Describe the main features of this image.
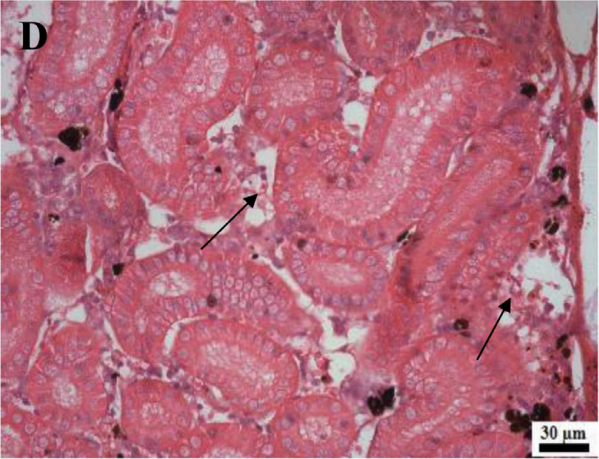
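Section of kidney dominated by closely packed tubules whose tall epithelial cells have pink cytoplasm, round nuclei and a pale, finely textured luminal surface. In the narrow spaces between the tubules lie loose clusters of small round cells with dark nuclei, alongside clumps of black pigment.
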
